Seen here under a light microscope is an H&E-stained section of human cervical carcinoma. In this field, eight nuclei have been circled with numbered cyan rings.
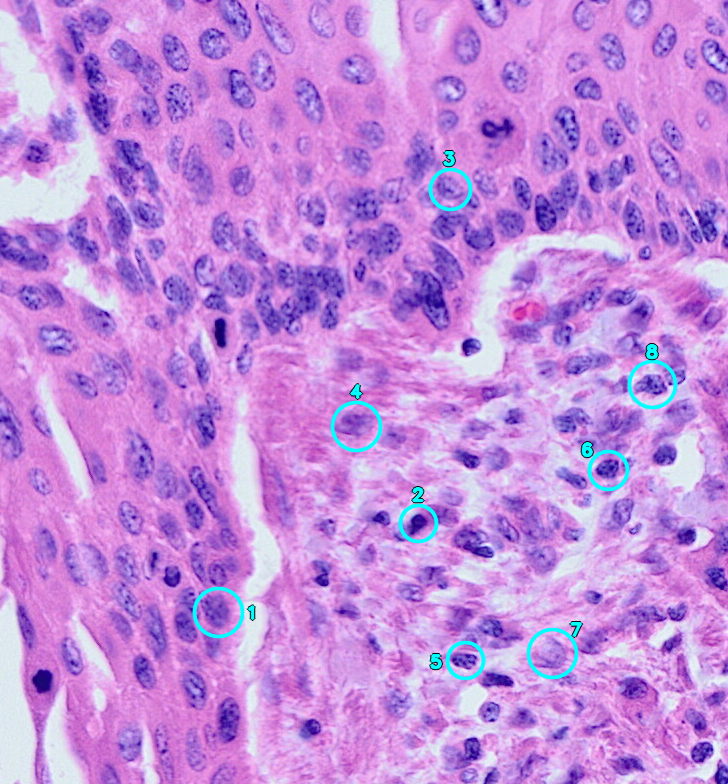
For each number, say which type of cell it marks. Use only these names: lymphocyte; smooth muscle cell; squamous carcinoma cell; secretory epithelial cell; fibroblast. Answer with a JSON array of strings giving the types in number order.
["squamous carcinoma cell", "lymphocyte", "squamous carcinoma cell", "fibroblast", "lymphocyte", "lymphocyte", "fibroblast", "lymphocyte"]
